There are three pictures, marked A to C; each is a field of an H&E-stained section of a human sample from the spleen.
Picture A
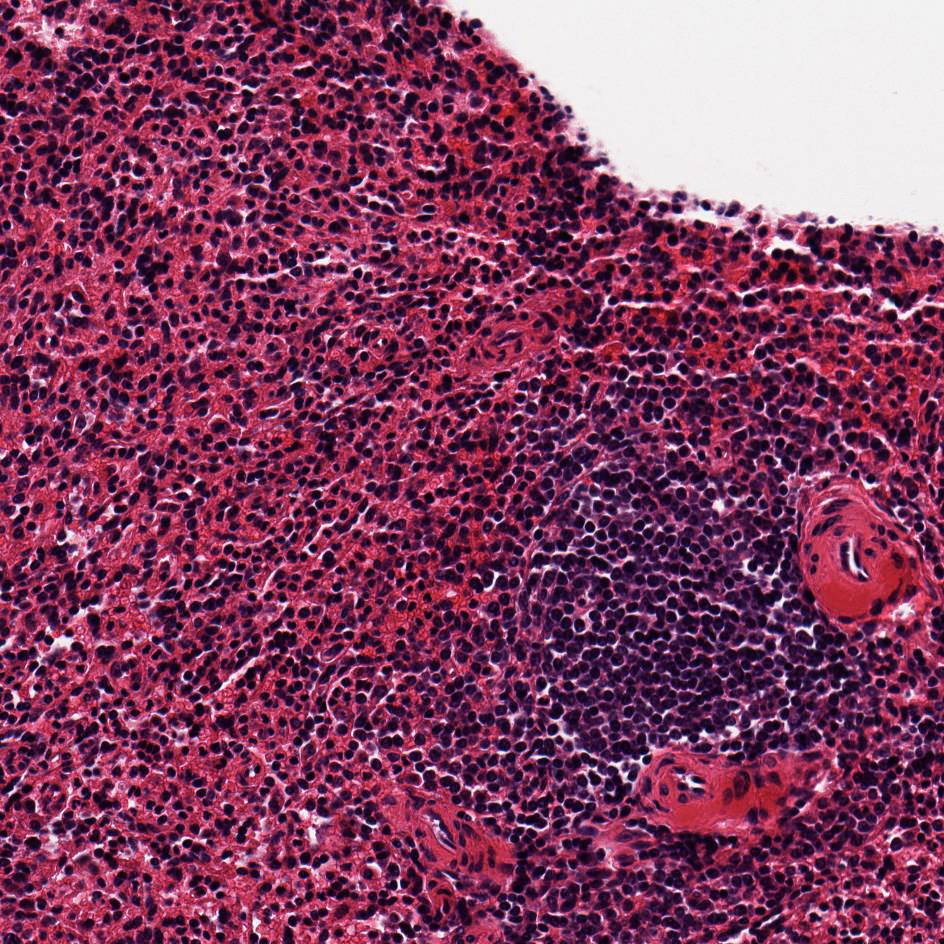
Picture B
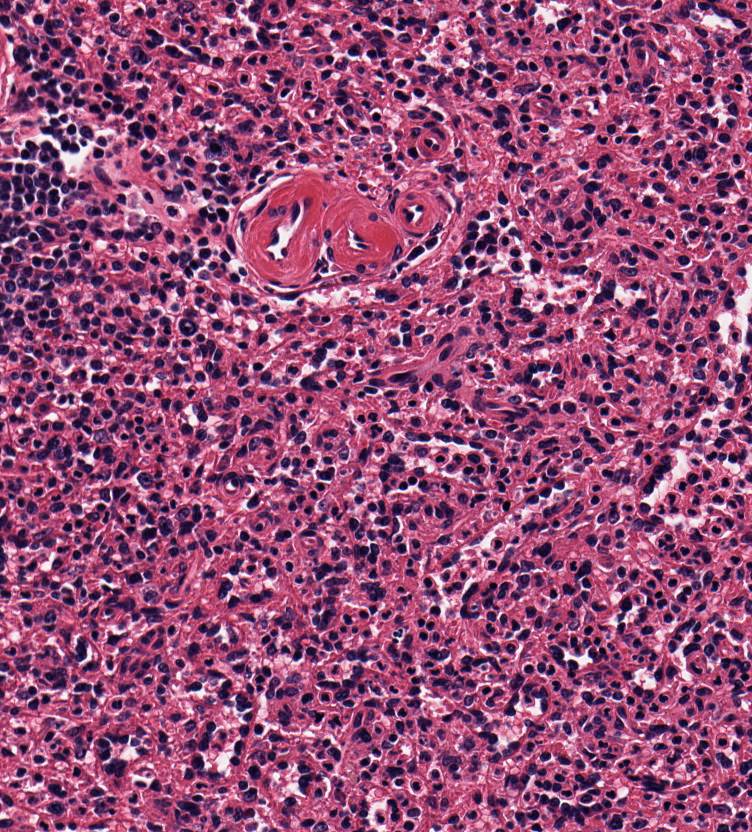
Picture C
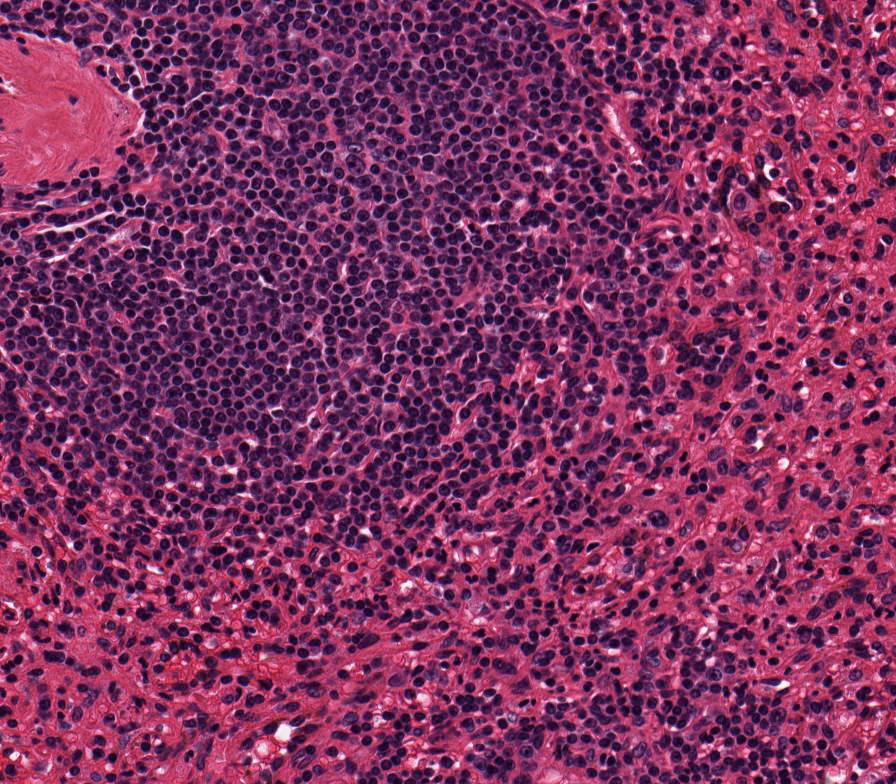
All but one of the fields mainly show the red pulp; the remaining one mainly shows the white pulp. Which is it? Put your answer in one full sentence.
The one that mainly shows the white pulp is picture C.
